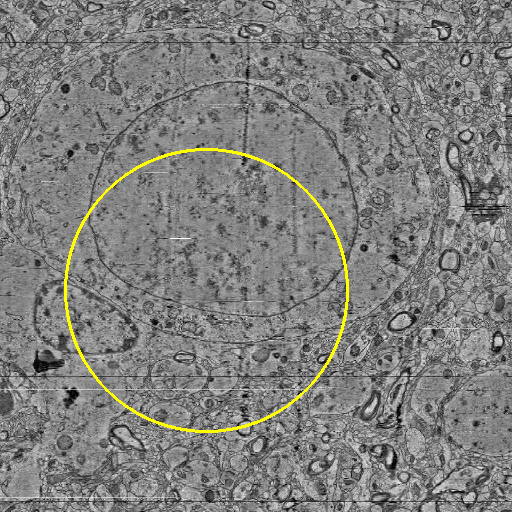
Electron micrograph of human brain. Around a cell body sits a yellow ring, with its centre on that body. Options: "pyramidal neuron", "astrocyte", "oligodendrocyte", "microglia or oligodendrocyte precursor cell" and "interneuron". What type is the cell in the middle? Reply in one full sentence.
The cell sitting at the centre of the yellow ring is a pyramidal neuron.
